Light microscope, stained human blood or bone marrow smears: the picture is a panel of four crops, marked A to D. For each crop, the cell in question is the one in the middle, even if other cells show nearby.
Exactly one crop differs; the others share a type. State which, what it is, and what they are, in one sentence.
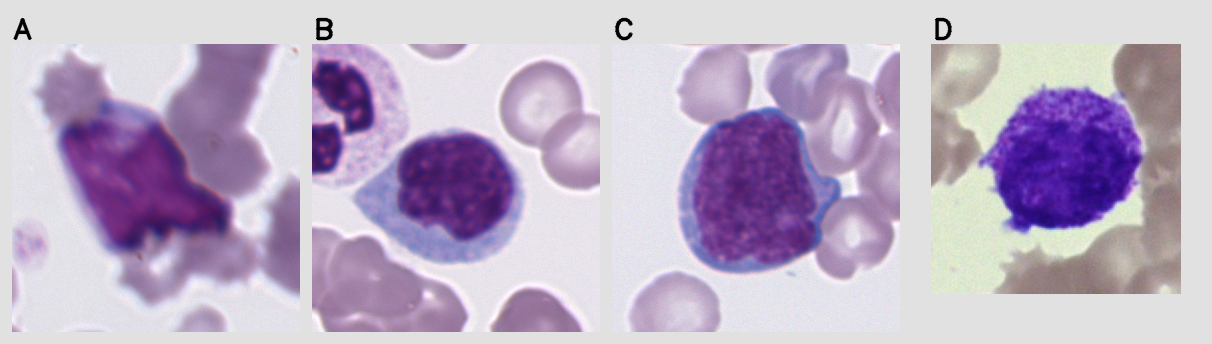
The crop that differs is B, which is a monocyte; the rest are blasts.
